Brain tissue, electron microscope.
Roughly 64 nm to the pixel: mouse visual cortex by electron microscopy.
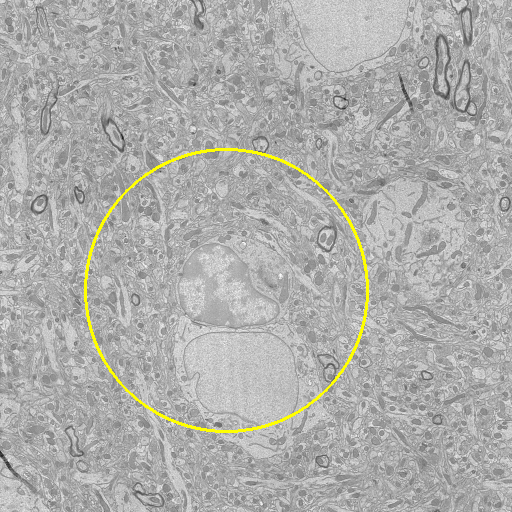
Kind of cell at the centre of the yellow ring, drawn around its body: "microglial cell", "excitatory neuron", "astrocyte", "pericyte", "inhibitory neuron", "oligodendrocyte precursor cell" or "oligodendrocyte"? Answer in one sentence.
The ring's centre falls on an oligodendrocyte.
